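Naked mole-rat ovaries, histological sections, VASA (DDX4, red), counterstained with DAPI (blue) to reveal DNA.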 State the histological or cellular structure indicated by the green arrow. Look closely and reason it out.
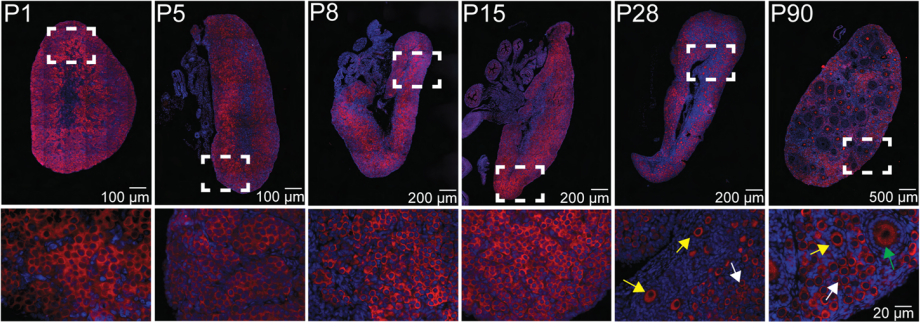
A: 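Secondary follicle. The green arrow points to the largest round structure in its image. It has a red centre surrounded by a broad ring of several layers of blue nuclei.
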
